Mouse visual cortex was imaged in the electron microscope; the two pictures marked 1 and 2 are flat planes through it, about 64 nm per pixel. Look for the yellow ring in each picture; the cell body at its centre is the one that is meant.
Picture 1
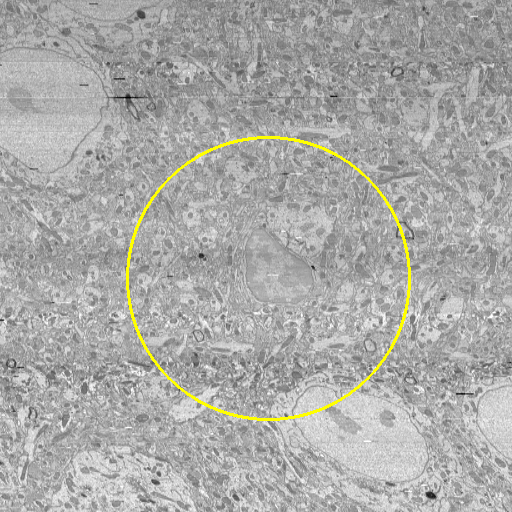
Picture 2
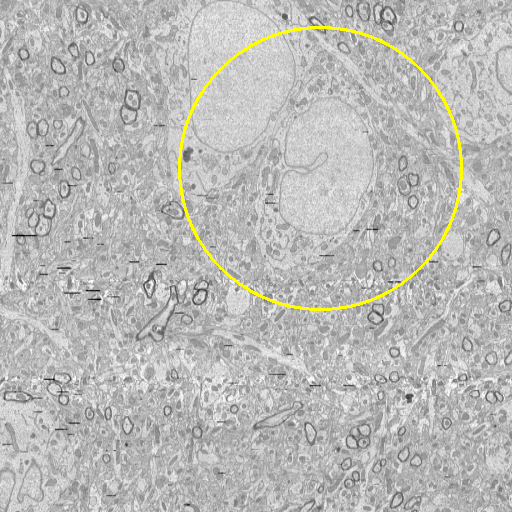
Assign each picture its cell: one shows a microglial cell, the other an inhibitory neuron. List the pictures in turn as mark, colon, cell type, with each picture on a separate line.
1: microglial cell
2: inhibitory neuron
